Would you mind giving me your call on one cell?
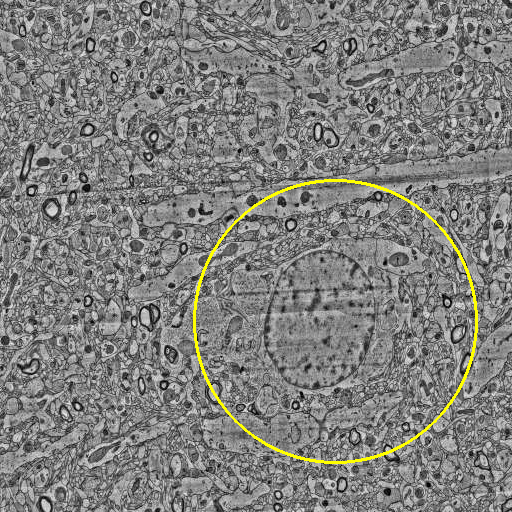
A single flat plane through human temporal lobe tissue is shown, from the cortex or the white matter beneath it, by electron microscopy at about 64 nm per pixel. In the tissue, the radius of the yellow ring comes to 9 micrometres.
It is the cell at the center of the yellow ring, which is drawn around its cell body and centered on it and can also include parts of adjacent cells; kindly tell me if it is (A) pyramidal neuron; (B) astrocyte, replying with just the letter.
B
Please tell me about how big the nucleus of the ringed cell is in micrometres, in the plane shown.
Approximately 9 x 7 micrometres in this plane.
